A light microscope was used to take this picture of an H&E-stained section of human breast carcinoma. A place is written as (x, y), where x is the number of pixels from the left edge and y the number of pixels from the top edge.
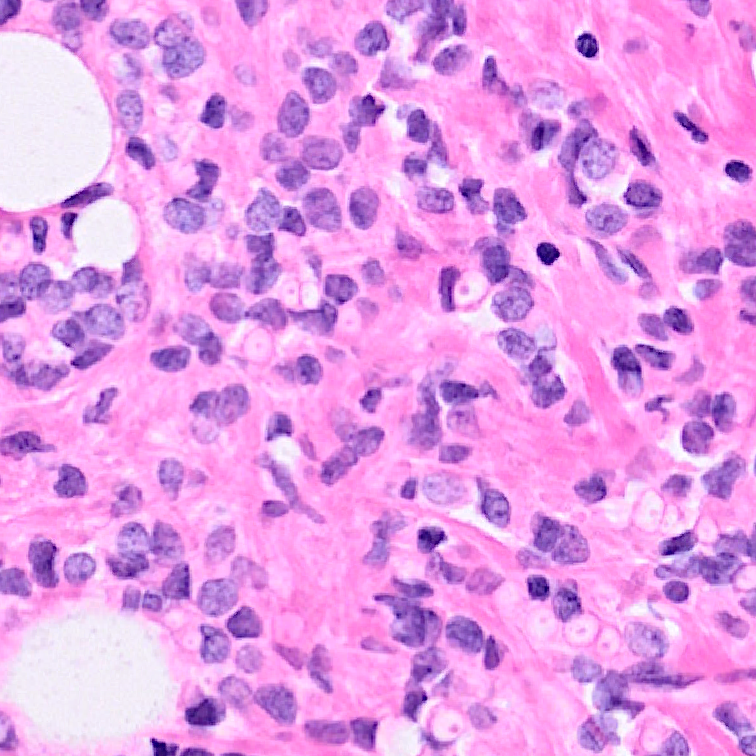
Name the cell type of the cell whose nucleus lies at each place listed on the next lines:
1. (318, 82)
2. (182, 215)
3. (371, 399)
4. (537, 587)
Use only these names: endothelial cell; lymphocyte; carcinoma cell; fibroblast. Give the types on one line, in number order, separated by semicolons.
carcinoma cell; carcinoma cell; lymphocyte; lymphocyte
